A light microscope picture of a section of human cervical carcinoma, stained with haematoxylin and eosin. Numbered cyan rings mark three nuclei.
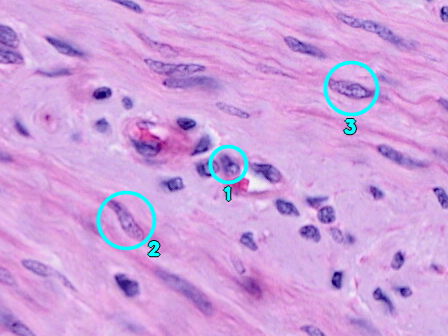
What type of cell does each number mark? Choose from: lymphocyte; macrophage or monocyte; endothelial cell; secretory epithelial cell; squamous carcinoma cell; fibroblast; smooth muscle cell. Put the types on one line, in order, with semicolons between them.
endothelial cell; smooth muscle cell; smooth muscle cell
